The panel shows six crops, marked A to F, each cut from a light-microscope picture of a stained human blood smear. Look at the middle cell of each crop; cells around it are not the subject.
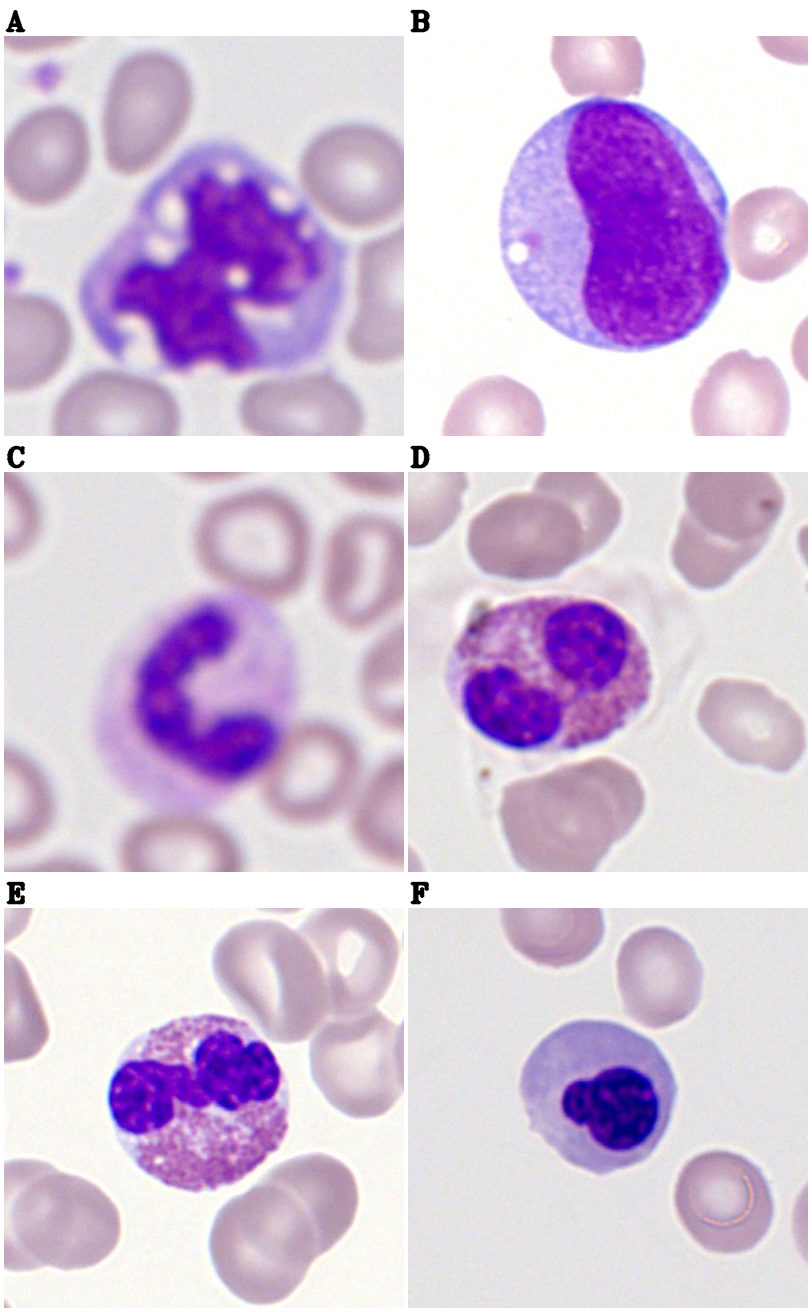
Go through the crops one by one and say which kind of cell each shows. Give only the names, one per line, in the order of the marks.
monocyte
myeloblast
band neutrophil
eosinophil
eosinophil
erythroblast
